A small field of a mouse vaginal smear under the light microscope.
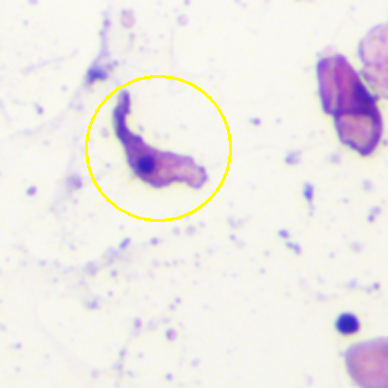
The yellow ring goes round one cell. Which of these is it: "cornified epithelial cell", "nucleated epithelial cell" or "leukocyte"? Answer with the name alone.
nucleated epithelial cell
